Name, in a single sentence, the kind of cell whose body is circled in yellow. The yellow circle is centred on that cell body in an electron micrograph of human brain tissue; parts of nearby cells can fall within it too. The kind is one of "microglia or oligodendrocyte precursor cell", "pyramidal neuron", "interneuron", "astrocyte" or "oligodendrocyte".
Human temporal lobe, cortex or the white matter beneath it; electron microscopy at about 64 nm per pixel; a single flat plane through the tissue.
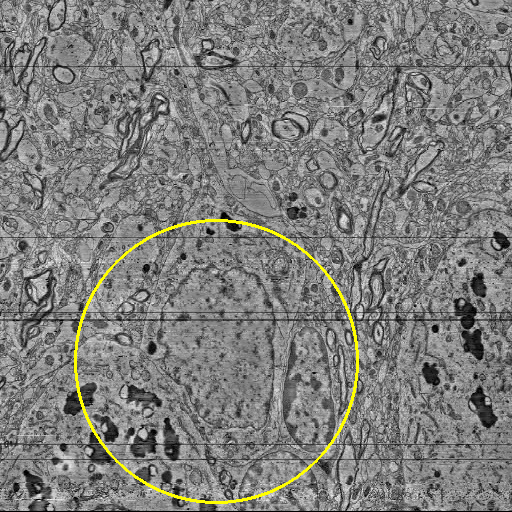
The circled cell body belongs to an interneuron.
